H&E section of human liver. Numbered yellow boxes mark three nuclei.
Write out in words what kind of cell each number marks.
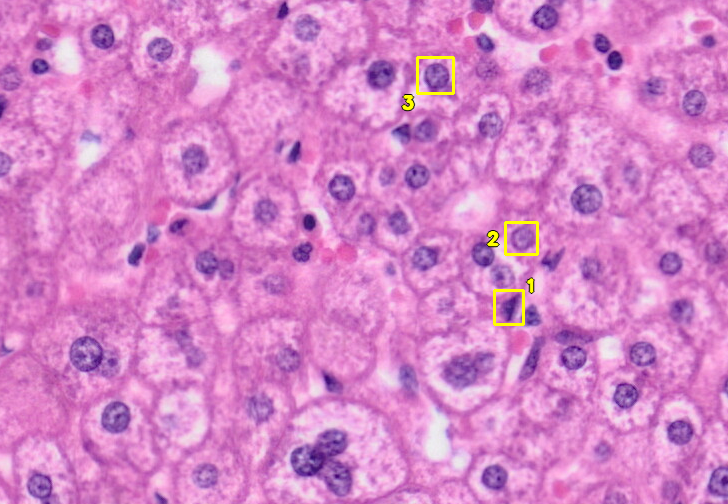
Cell 1 is a fibroblast or stellate cell. Cells 2 and 3 are hepatocytes.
